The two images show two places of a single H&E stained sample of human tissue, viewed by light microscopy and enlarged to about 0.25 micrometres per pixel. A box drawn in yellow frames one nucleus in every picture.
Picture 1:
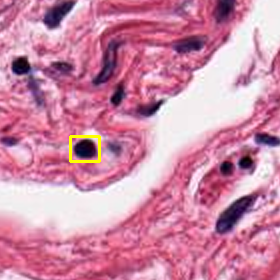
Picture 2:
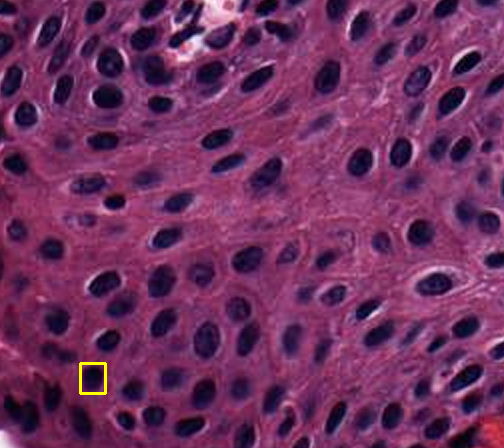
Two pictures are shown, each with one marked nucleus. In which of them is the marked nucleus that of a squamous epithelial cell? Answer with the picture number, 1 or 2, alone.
2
